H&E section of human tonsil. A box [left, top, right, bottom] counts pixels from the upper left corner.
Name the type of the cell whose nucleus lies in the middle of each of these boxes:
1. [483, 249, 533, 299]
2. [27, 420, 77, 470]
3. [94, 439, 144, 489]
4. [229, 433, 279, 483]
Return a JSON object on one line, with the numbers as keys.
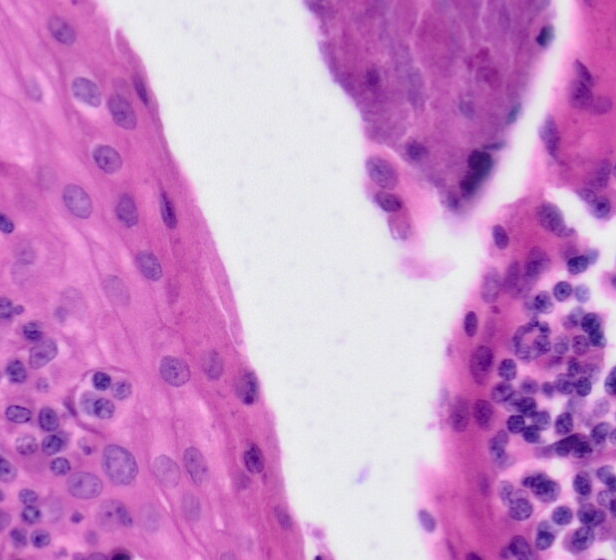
{"1": "squamous epithelial cell", "2": "plasma cell", "3": "squamous epithelial cell", "4": "squamous epithelial cell"}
